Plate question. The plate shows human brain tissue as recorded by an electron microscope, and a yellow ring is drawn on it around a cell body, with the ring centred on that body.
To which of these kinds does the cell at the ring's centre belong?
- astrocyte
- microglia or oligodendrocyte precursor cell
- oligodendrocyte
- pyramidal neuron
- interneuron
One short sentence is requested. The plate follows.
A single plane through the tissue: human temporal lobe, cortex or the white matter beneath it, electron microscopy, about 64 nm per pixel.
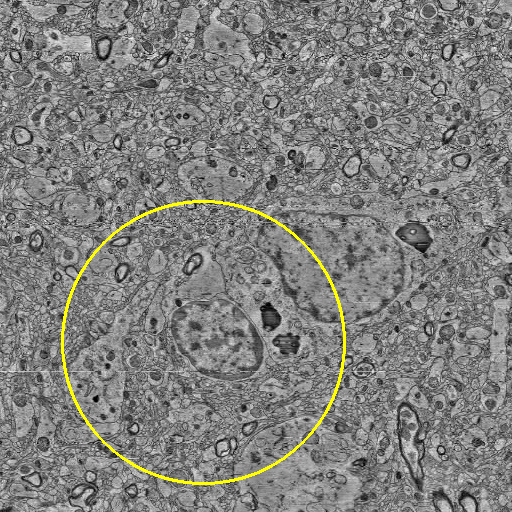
The cell at the ring's centre is a microglial cell or oligodendrocyte precursor cell.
